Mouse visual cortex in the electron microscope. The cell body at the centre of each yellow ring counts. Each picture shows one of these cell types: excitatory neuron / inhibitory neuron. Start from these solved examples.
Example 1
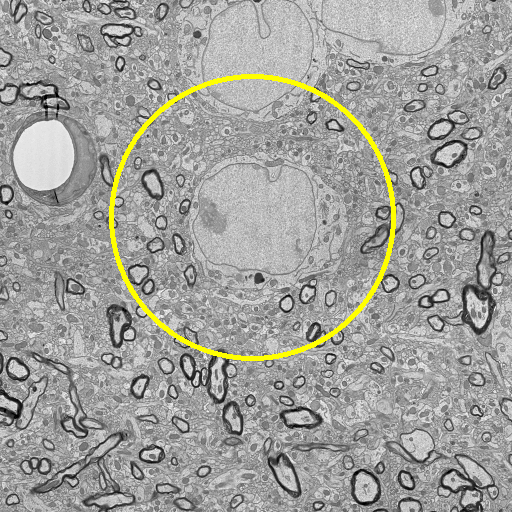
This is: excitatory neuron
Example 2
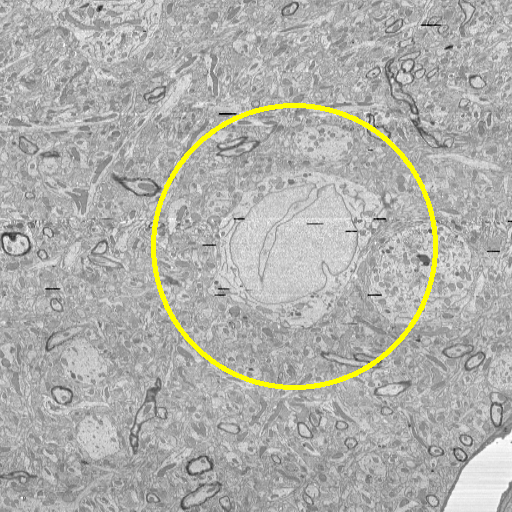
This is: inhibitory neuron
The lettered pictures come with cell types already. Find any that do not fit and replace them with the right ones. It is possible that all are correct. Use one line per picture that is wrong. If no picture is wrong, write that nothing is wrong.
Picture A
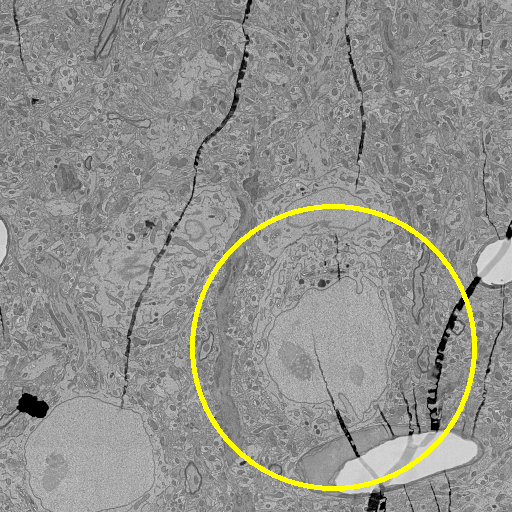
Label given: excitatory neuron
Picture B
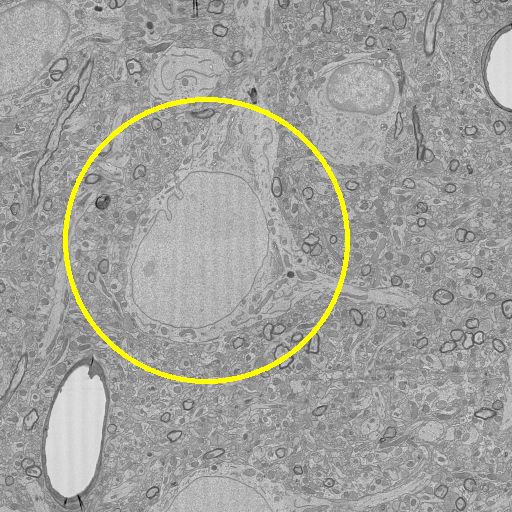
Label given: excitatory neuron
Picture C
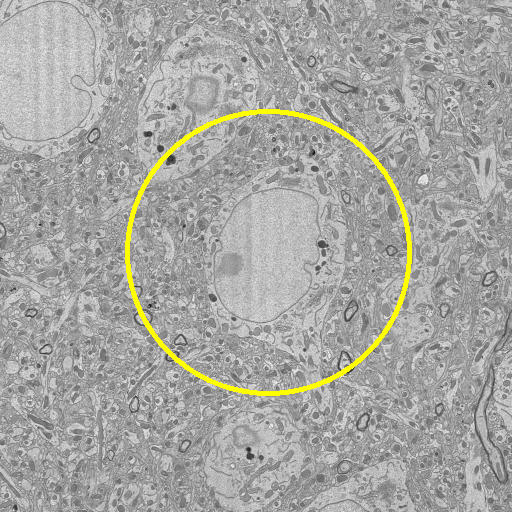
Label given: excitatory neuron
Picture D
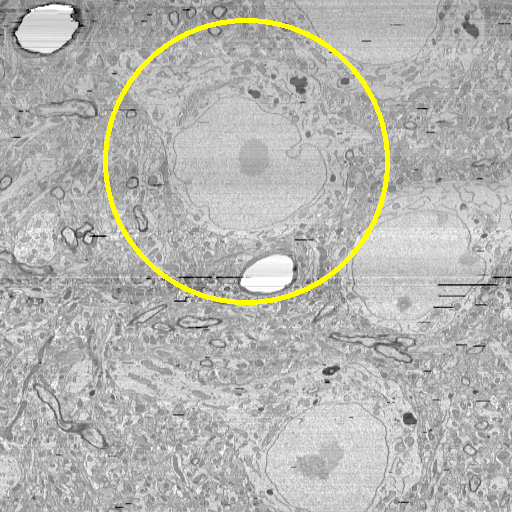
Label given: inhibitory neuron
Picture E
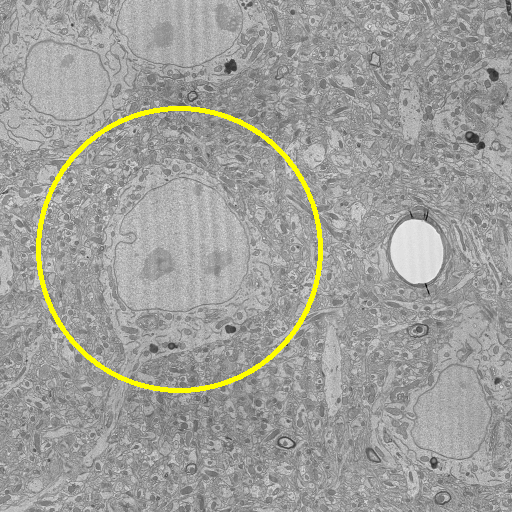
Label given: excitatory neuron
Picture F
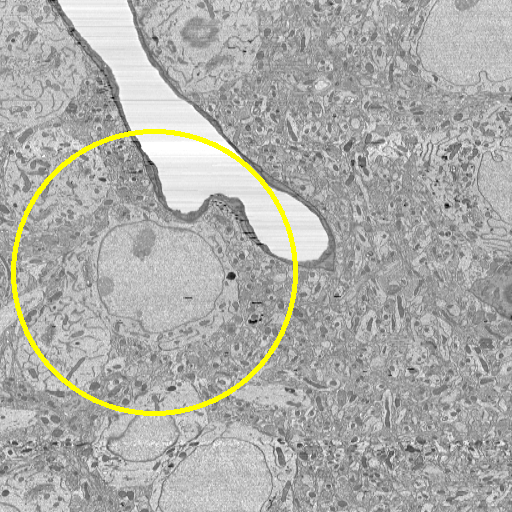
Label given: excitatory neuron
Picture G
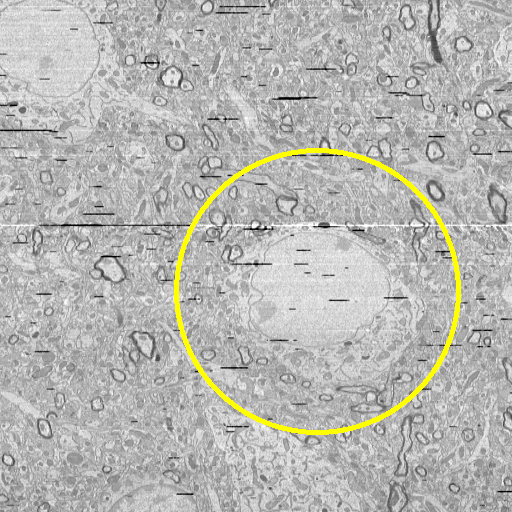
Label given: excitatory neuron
A: not excitatory neuron but inhibitory neuron
D: not inhibitory neuron but excitatory neuron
